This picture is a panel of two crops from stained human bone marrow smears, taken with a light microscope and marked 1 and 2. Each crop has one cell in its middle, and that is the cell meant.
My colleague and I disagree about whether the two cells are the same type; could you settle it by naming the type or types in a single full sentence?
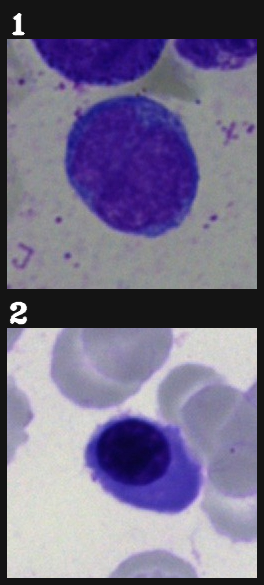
No, it is a blast in crop 1 and an erythroblast in crop 2.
